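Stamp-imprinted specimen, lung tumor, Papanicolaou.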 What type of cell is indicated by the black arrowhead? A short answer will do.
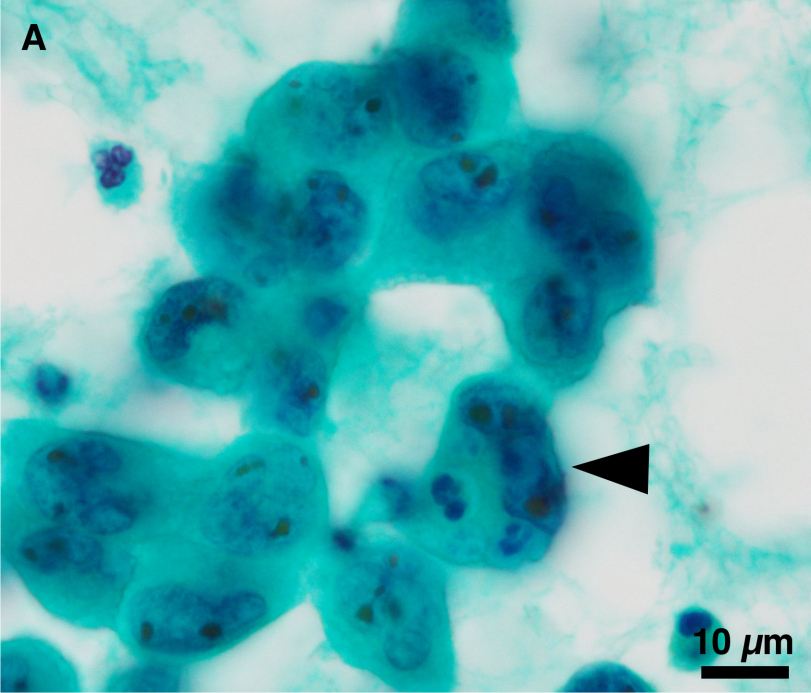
Atypical cells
